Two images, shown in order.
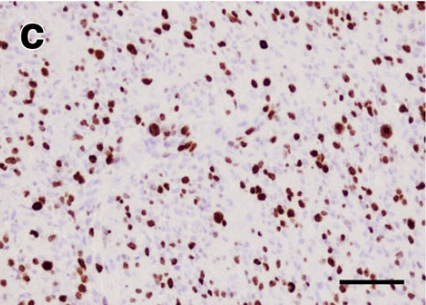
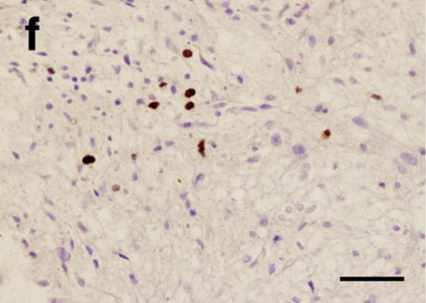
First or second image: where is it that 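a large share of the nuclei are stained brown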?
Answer: The first image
